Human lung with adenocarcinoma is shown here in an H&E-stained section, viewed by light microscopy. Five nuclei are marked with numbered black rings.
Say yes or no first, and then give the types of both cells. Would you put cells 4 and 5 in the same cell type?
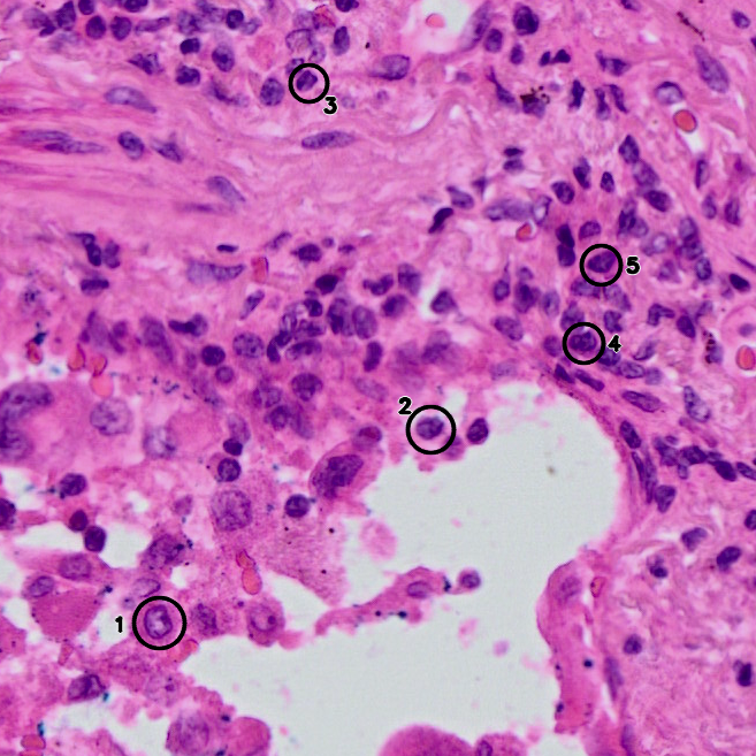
Yes, cells 4 and 5 are both identified as plasma cells.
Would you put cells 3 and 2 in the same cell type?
Yes, the pair formed by cells 3 and 2 consists of two lymphocytes.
